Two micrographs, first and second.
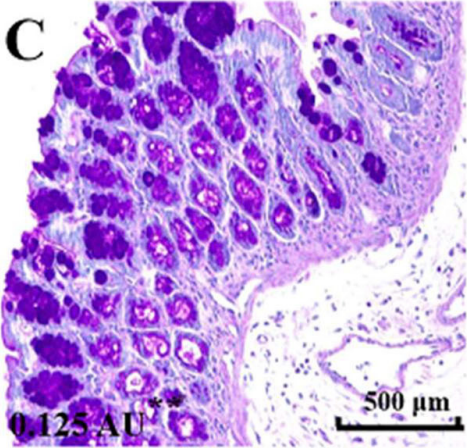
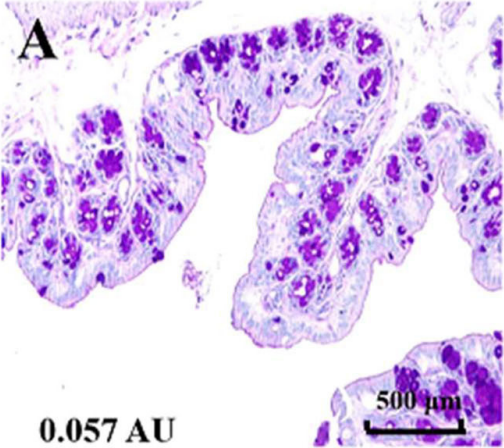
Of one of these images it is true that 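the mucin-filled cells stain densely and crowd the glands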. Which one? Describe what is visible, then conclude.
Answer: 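First image: glands packed with large, deep purple mucin-filled cells. Second image: purple cells are smaller, fewer and more widely spaced, with more pale epithelium between them.
Conclusion: the first image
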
